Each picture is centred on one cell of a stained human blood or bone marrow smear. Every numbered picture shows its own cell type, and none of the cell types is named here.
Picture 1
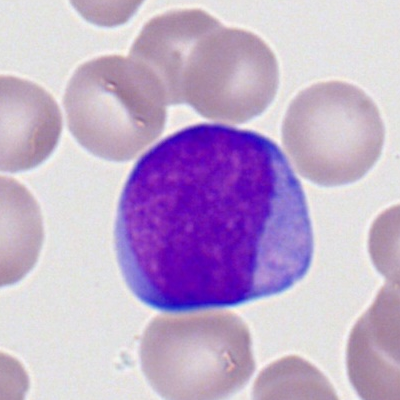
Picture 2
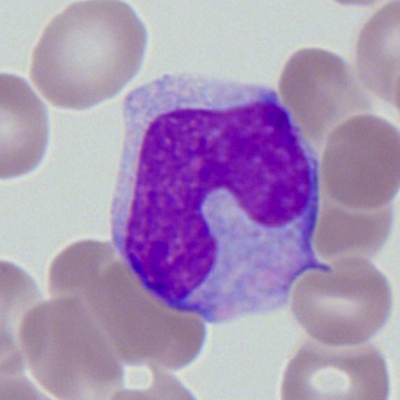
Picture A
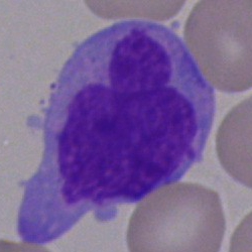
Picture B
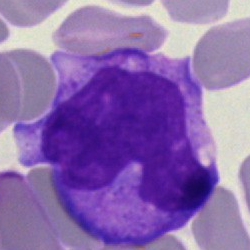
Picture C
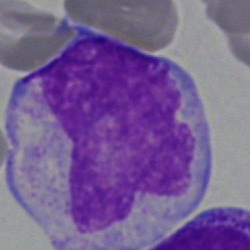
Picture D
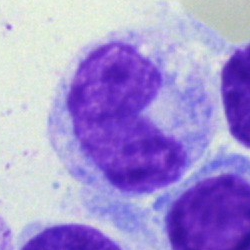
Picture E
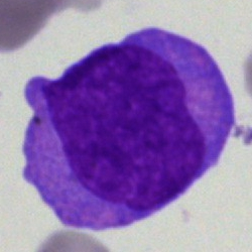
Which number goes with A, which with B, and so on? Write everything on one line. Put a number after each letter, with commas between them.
A 2, B 2, C 2, D 2, E 1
